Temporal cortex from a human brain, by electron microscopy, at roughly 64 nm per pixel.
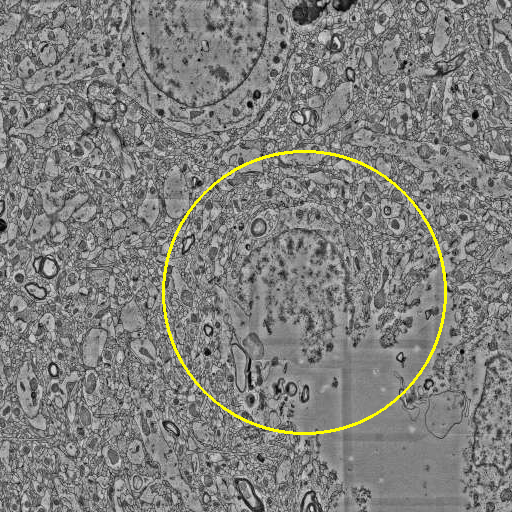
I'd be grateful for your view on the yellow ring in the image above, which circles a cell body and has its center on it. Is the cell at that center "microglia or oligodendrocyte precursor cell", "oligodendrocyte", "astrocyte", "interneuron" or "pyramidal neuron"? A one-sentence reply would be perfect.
The cell at the center of the yellow ring is an interneuron.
